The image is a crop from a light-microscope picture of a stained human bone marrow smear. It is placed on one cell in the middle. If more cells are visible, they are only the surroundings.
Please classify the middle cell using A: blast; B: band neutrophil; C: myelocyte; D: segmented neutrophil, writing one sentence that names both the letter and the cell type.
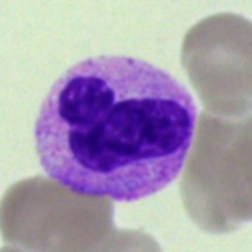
Option D stands as correct, the central cell being a segmented neutrophil.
